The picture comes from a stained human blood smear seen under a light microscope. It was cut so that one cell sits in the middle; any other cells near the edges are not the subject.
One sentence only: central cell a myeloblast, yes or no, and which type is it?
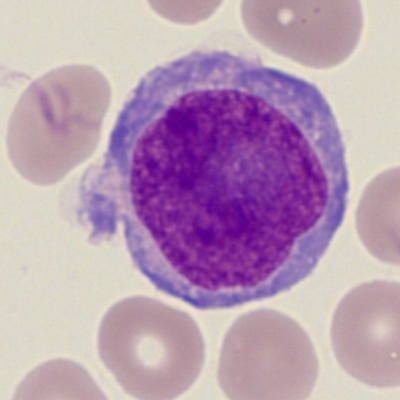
Yes, in the middle of the crop is a myeloblast.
